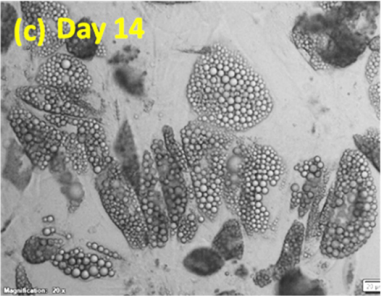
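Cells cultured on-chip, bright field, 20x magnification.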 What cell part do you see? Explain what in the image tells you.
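Numerous round, clear, refractile droplets inside the cells. Droplets are closely packed and range in size. On this evidence: lipid.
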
